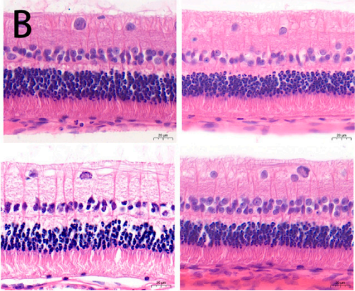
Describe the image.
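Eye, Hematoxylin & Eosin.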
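This is retina cut across its layers: a sparse row of larger ganglion cells lies at the top, then a pale inner plexiform band, an inner nuclear layer of loosely packed nuclei, and a thicker outer nuclear layer of small, densely packed, dark round nuclei. Below it the pink photoreceptor segments run as a finely striated band, and the layers look orderly without infiltrating cells.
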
